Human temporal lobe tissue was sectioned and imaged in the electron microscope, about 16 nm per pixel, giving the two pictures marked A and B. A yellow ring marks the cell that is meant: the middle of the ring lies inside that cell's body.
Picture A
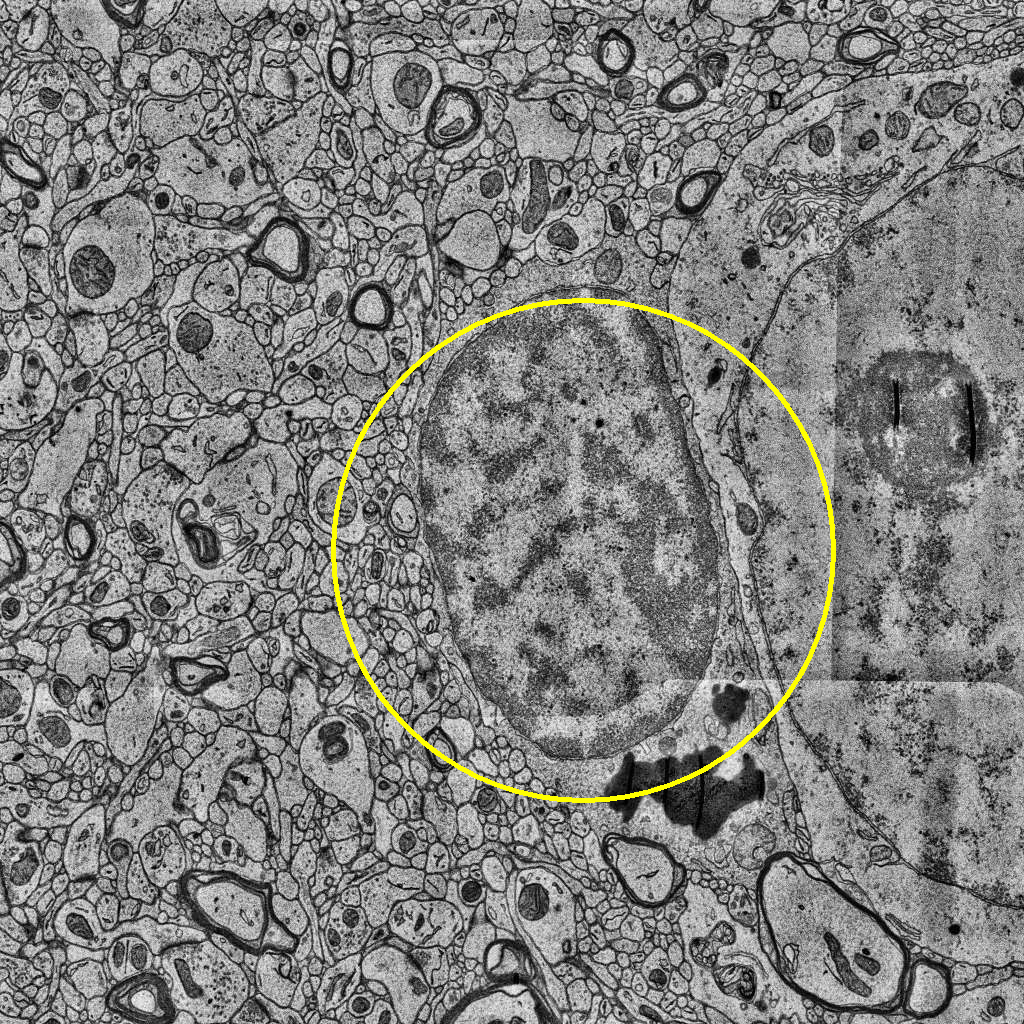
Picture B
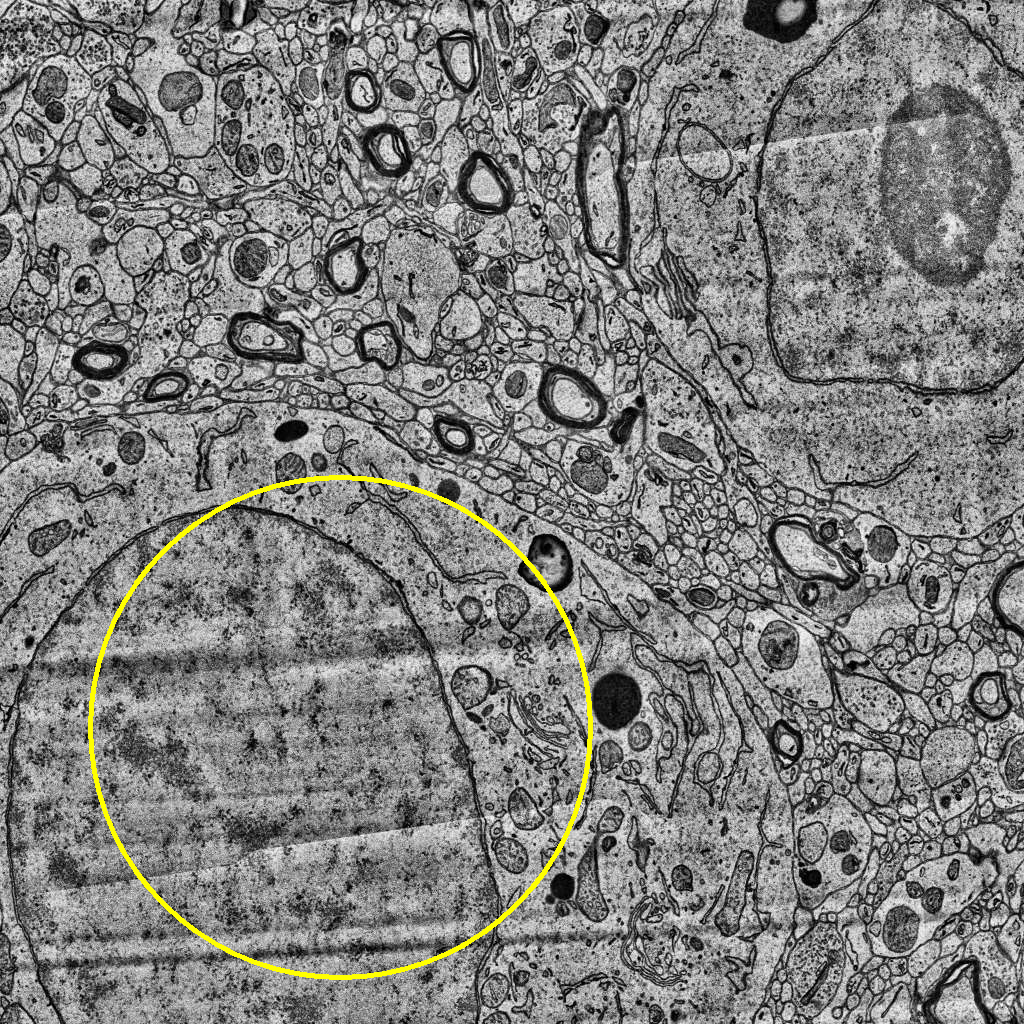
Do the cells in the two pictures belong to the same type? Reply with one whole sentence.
No, picture A shows an oligodendrocyte and picture B shows a pyramidal neuron.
